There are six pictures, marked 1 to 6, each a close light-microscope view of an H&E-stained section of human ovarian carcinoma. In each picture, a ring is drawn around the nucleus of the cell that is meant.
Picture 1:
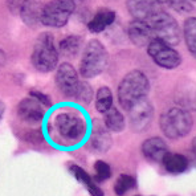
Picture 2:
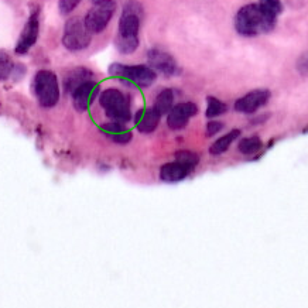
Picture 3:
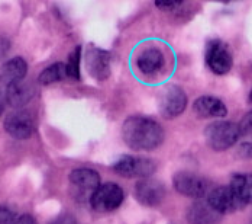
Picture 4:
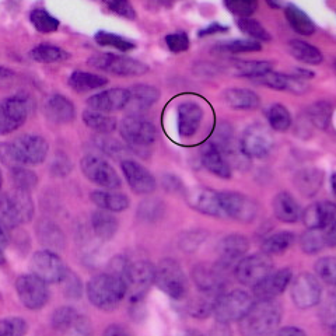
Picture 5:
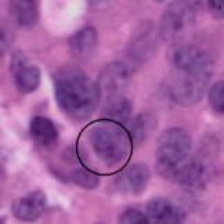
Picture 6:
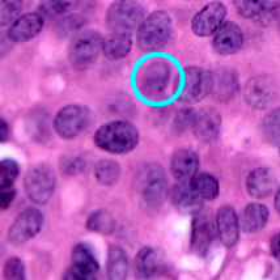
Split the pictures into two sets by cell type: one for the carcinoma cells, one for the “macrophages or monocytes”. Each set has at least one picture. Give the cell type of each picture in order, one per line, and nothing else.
macrophage or monocyte
carcinoma cell
macrophage or monocyte
carcinoma cell
carcinoma cell
carcinoma cell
